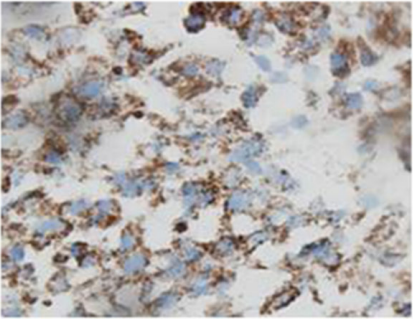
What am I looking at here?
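Coarse brown granular staining fills the cytoplasm around most nuclei, darker in some cells than in others. The cells are irregular in shape and lie singly or in small clusters.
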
